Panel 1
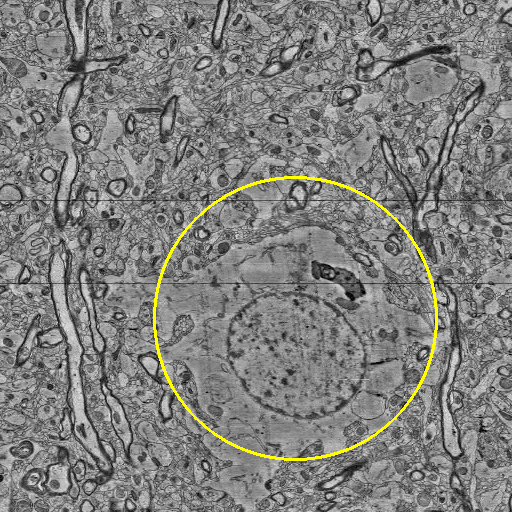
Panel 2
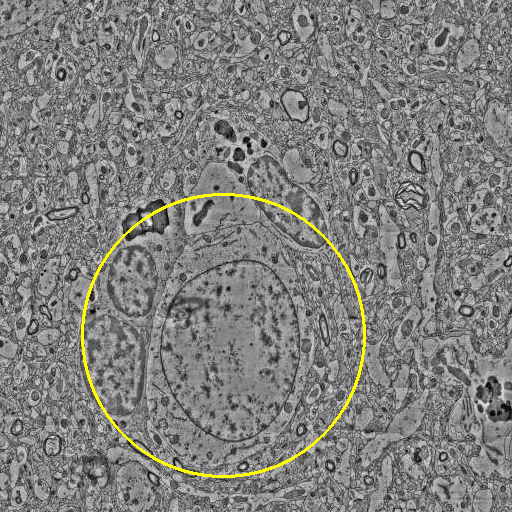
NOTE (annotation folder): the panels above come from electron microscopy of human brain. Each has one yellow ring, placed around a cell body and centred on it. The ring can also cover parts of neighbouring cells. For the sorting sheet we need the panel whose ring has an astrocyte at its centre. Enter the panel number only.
1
